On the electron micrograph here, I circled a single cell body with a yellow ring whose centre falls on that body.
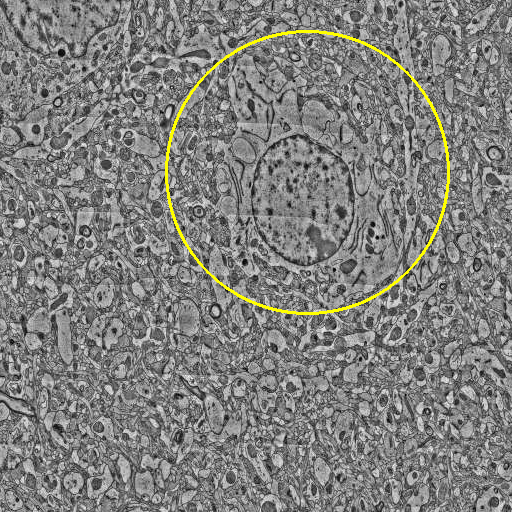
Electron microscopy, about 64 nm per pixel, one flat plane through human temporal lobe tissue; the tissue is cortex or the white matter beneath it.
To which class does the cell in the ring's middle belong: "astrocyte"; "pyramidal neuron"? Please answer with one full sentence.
In this picture, the cell body circled at the ring's centre belongs to an astrocyte.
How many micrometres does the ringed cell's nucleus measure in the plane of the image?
The nucleus comes to roughly 8 by 7 micrometres in this plane.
